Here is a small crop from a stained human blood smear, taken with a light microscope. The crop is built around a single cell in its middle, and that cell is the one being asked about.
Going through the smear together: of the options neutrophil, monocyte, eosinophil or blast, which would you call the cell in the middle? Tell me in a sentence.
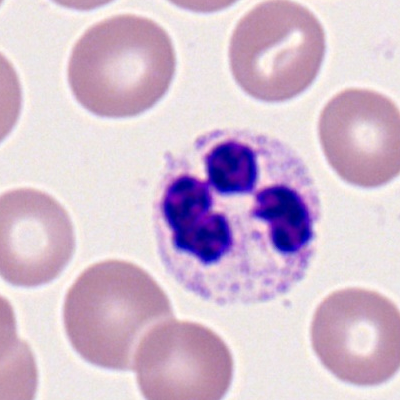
The cell at the heart of this crop is a neutrophil.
